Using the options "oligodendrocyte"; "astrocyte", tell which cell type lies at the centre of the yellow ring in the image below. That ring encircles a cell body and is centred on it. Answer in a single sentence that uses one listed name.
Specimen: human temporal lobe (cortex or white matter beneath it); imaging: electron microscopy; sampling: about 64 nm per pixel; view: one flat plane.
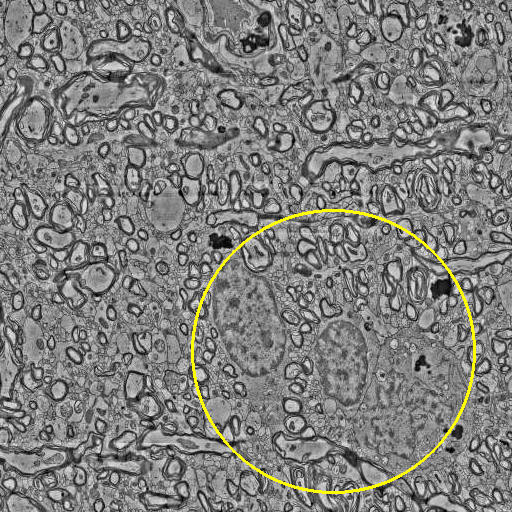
At the centre of the yellow ring lies the body of an oligodendrocyte.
